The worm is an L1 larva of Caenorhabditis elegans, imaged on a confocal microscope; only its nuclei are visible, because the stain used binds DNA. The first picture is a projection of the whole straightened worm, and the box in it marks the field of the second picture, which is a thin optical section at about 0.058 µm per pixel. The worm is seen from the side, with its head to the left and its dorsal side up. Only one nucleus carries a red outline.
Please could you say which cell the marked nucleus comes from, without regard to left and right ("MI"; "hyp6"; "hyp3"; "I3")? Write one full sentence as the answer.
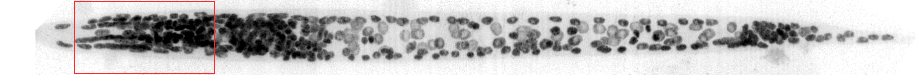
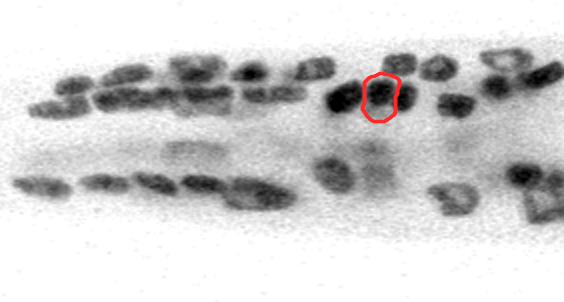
This is the nucleus of MI, a neuron.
